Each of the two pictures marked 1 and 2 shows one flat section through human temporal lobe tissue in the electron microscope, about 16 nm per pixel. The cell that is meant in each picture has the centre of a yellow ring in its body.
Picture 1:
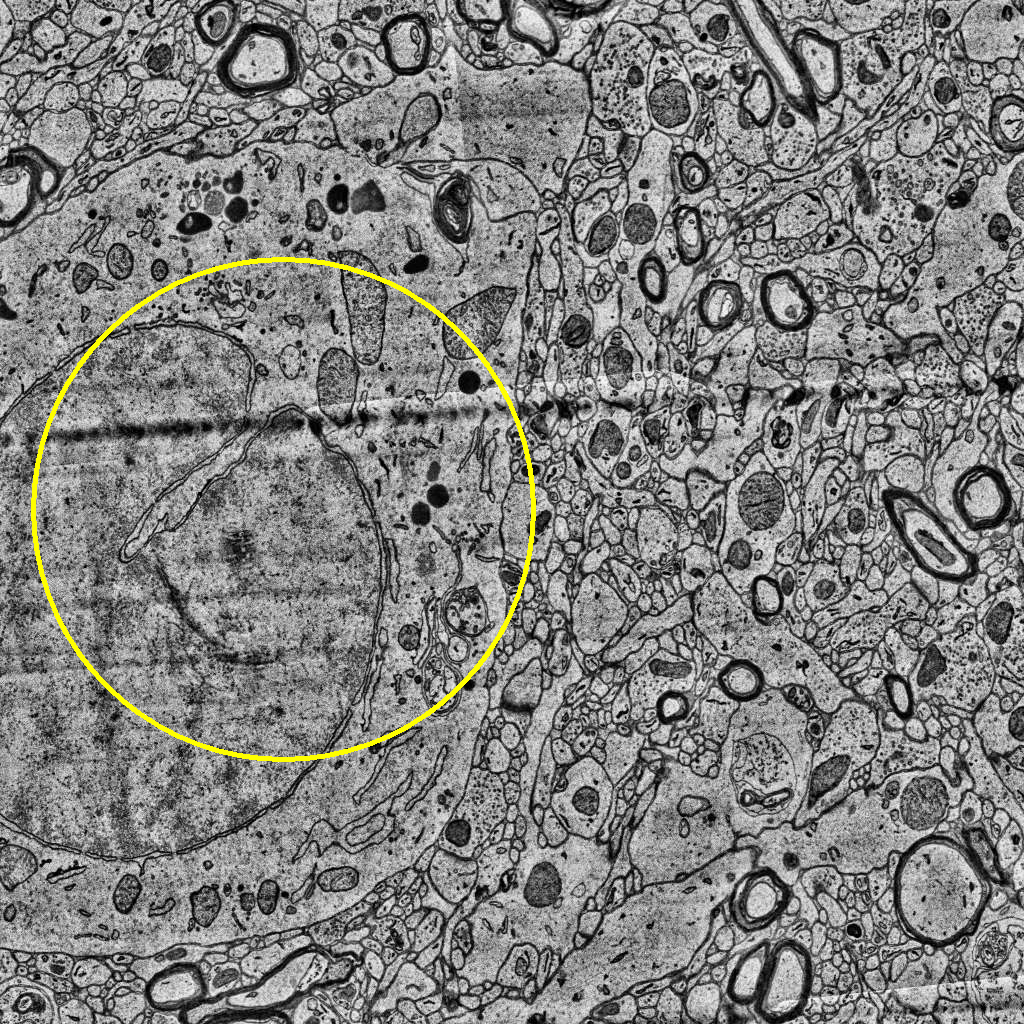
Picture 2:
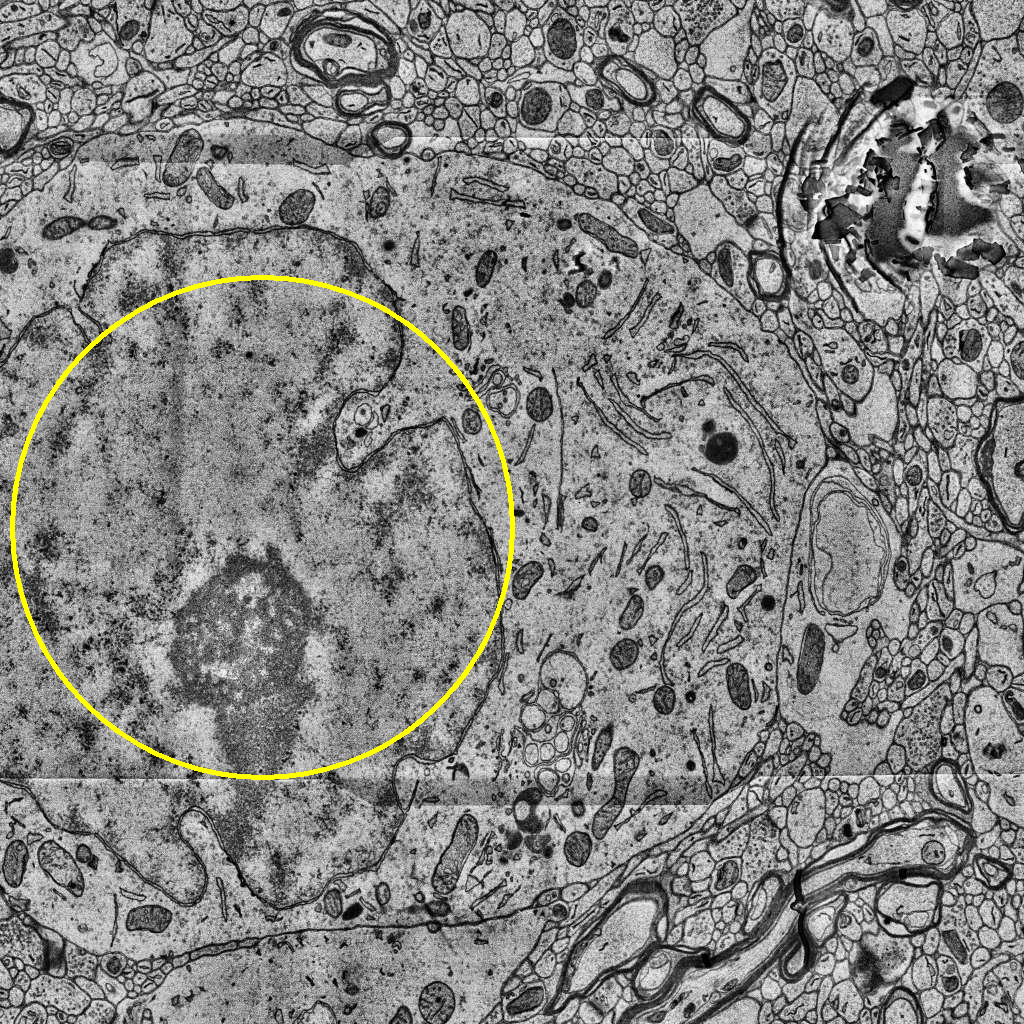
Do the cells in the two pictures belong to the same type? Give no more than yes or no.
yes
